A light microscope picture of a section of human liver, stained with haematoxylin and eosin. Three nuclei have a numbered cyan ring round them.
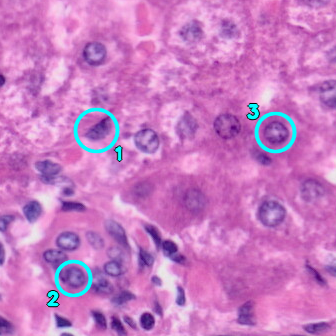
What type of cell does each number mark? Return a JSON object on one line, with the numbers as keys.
{"1": "fibroblast or stellate cell", "2": "cholangiocyte", "3": "hepatocyte"}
